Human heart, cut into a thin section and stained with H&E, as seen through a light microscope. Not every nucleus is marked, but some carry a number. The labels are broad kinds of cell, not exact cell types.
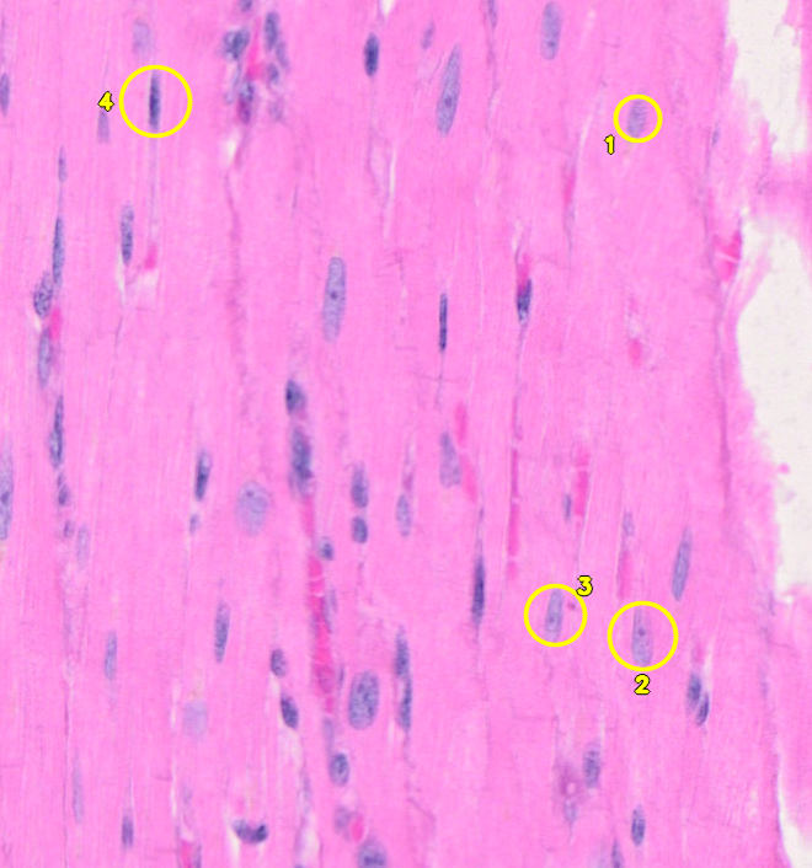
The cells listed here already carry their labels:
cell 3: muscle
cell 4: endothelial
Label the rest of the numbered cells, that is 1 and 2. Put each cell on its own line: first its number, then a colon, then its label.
1: muscle
2: muscle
